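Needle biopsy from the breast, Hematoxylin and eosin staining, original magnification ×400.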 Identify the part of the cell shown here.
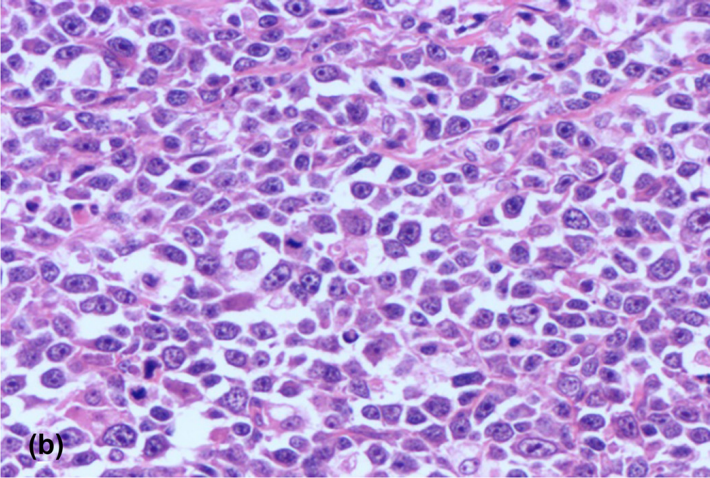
Significant nucleoli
